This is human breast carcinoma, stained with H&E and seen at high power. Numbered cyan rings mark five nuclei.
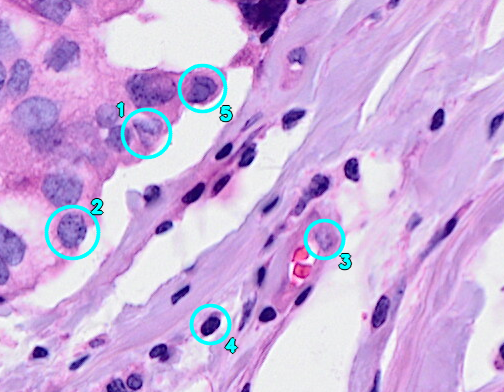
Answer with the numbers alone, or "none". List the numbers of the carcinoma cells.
1, 2, 5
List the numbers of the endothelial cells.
3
